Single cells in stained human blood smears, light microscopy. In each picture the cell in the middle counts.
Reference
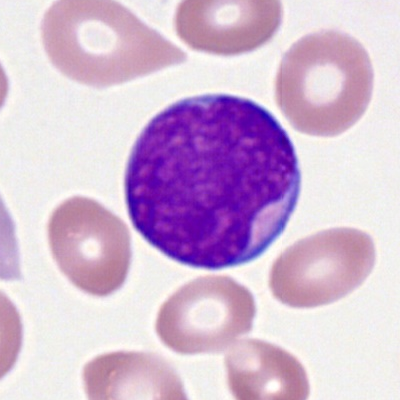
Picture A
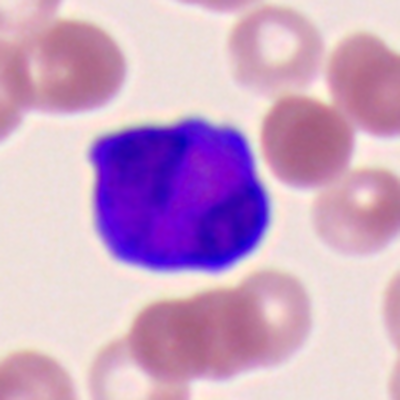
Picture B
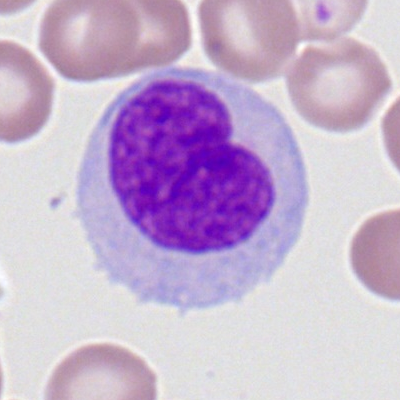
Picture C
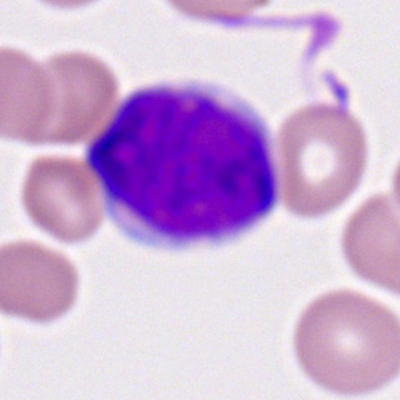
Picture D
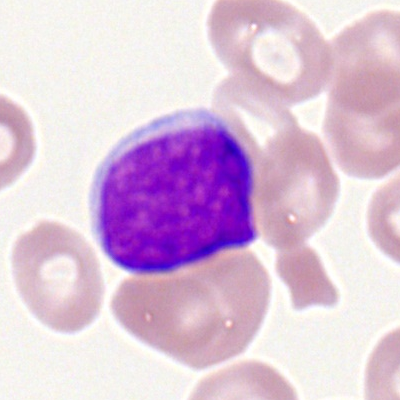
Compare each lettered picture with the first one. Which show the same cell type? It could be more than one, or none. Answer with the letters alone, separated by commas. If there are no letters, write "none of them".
A, C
